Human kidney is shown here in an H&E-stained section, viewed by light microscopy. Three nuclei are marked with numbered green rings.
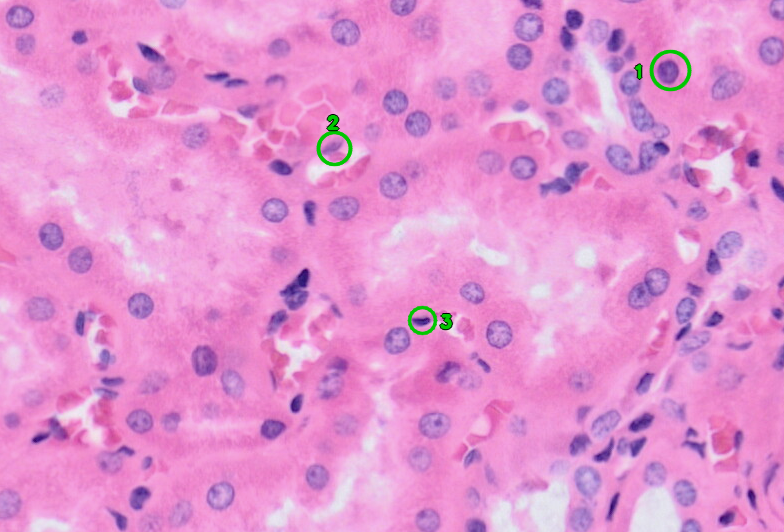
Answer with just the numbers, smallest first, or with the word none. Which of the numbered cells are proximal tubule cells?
1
